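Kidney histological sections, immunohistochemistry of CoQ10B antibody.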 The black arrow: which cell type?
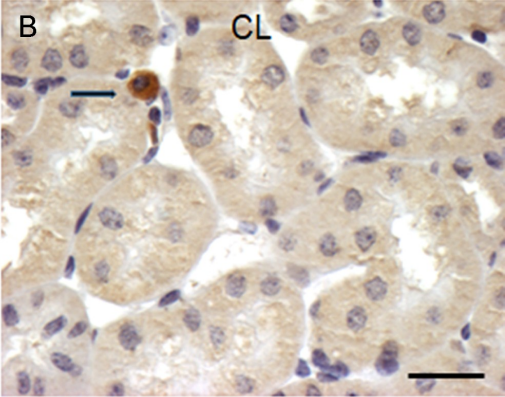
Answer: Interstitial inflammatory cell.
